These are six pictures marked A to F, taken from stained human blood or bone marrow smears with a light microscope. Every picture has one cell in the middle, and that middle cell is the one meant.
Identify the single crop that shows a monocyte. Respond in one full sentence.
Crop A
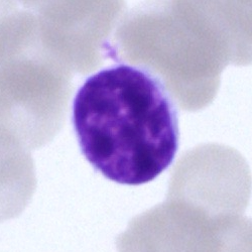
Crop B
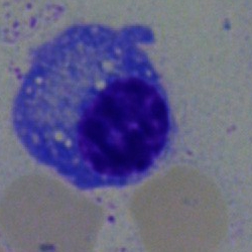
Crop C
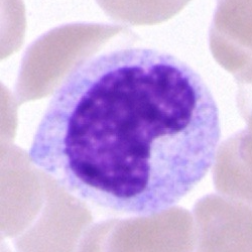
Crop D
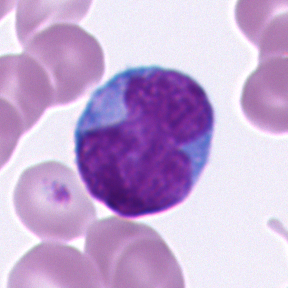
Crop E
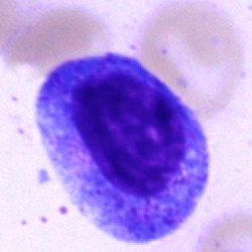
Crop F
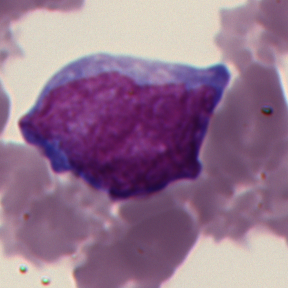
Of the labeled crops, the one with a monocyte is crop D.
